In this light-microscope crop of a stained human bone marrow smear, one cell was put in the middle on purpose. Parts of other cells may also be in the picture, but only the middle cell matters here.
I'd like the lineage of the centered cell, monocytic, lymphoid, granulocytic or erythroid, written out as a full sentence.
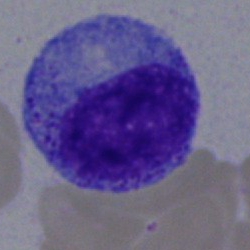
Lineage result for the cell in the middle of the crop: granulocytic.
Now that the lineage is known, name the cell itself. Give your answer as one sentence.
The crop shows a promyelocyte in its centre.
